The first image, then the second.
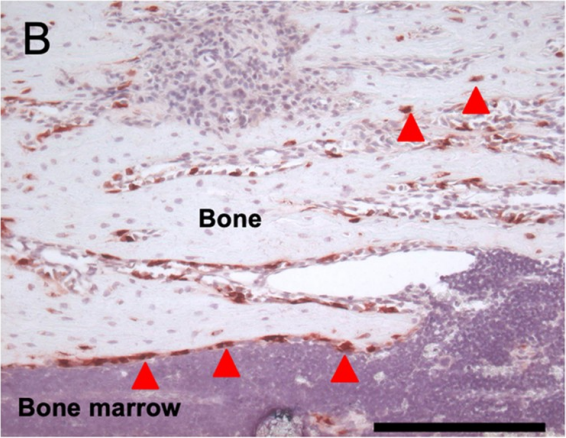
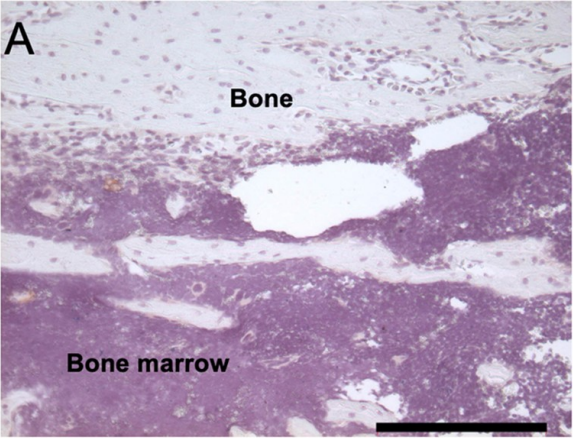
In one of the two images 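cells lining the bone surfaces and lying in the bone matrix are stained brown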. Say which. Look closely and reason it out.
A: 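The first image. First image: many flattened cells along the bone surfaces and some within the matrix are reddish brown.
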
